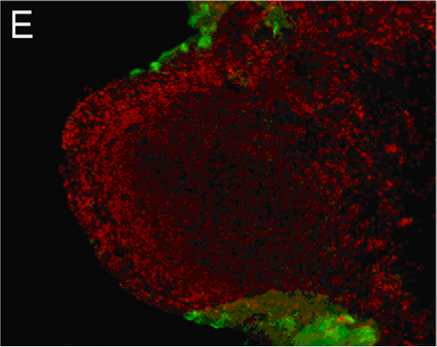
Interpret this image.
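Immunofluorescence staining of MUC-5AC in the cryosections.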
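This section shows a large rounded follicle-like mass of red-stained cells, with green-stained goblet cells gathered at its border. The red mass is densely dotted, brightest at its rim and darker toward the middle. At the bottom a broad patch of green cells lies along the edge of the mass, partly overlapping with red. A row of smaller green groups runs along the upper border. The green cells are confined to the outer margin of the tissue, leaving the central red mass free of green.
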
